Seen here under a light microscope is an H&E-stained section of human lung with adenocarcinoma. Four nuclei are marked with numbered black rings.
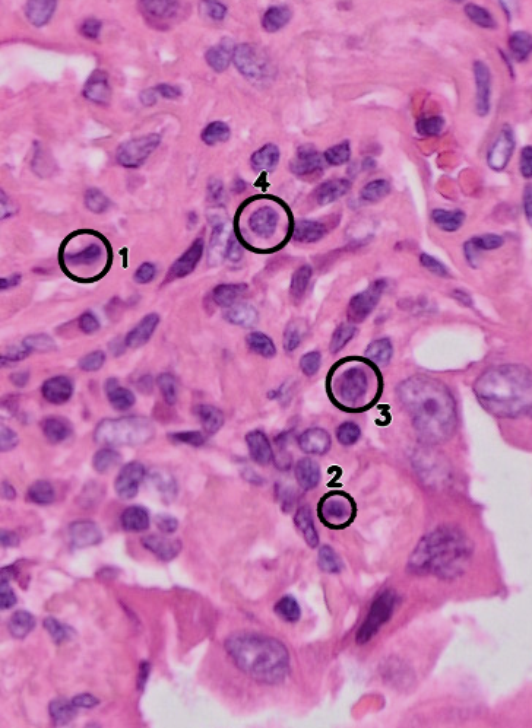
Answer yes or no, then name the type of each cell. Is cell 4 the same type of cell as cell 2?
Yes, both are lymphocytes.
